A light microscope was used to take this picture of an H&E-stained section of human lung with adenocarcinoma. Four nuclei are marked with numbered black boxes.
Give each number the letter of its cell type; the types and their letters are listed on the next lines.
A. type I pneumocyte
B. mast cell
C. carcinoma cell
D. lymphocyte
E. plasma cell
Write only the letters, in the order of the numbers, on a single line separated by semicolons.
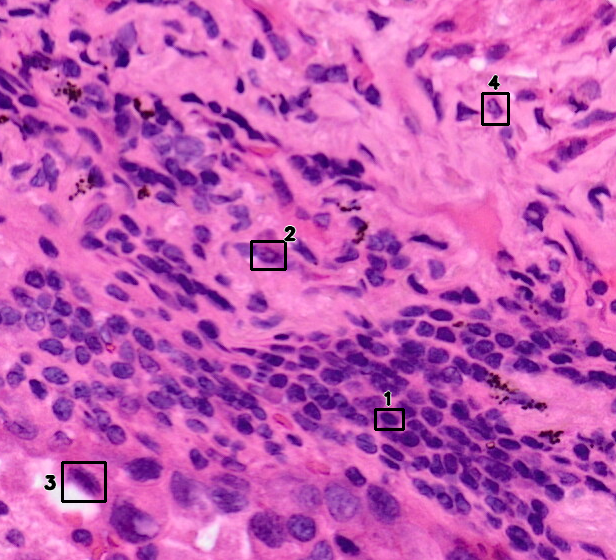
D; E; C; B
